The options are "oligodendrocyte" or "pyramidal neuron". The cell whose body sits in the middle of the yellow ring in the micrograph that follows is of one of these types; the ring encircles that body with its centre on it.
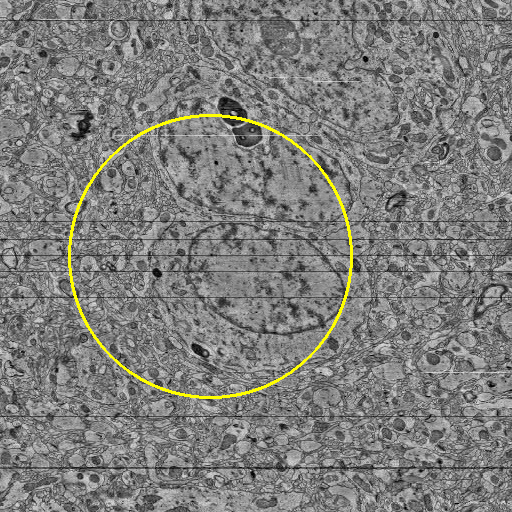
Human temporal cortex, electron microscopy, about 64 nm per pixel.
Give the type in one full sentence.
Going by the micrograph, the cell centred in the yellow ring is a pyramidal neuron.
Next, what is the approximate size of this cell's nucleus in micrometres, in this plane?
The nucleus comes to approximately 10 by 7 micrometres and is clearly longer than it is wide in this plane.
